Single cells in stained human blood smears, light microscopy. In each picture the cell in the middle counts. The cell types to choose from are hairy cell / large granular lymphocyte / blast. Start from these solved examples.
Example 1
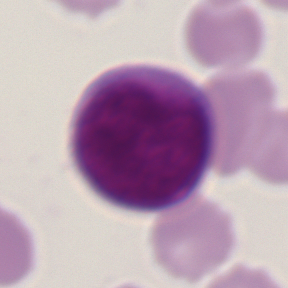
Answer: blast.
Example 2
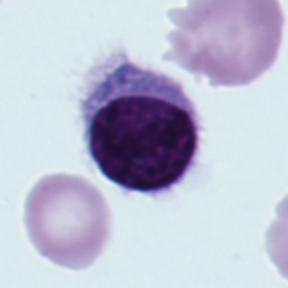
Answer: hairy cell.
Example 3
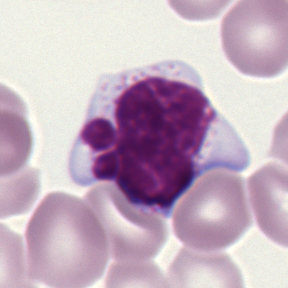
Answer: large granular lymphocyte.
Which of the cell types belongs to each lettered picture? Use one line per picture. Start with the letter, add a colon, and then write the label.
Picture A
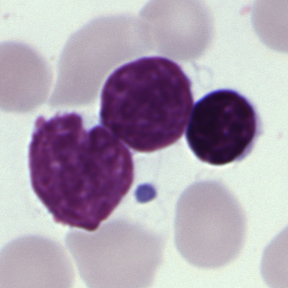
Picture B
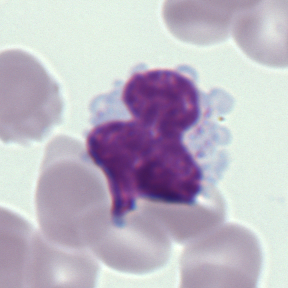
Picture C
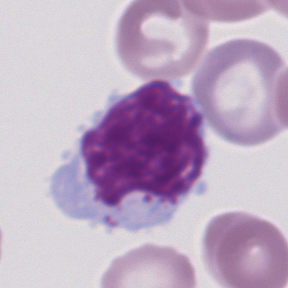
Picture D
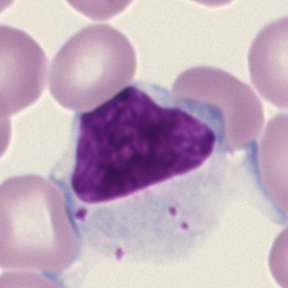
A: blast.
B: large granular lymphocyte.
C: large granular lymphocyte.
D: large granular lymphocyte.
